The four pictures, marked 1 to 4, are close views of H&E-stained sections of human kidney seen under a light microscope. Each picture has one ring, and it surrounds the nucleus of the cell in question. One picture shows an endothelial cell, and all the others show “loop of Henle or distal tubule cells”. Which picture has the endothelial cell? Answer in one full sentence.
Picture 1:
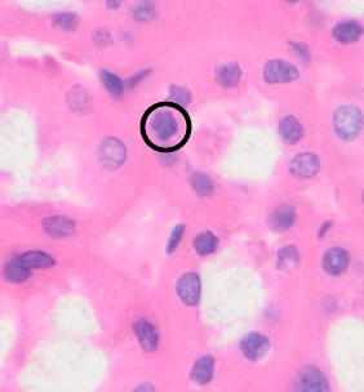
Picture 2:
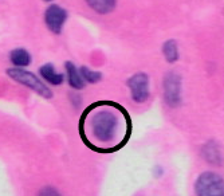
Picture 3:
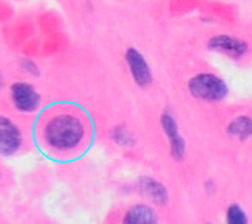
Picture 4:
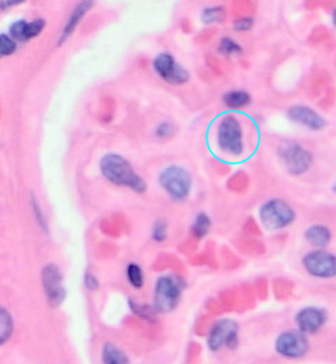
The endothelial cell is the one in picture 4.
